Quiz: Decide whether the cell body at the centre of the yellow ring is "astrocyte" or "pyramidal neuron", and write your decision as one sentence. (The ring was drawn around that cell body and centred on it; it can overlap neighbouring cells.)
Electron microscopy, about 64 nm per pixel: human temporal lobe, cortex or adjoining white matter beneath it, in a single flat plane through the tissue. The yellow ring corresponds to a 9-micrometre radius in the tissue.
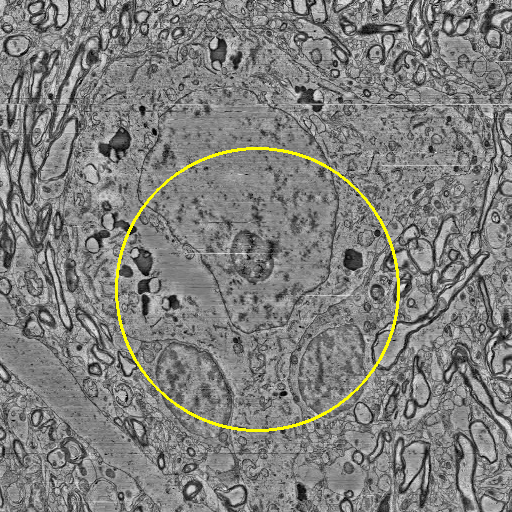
The cell the ring is centred on is a pyramidal neuron.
